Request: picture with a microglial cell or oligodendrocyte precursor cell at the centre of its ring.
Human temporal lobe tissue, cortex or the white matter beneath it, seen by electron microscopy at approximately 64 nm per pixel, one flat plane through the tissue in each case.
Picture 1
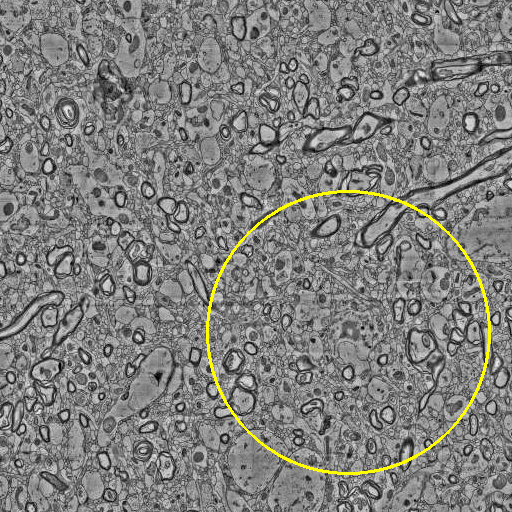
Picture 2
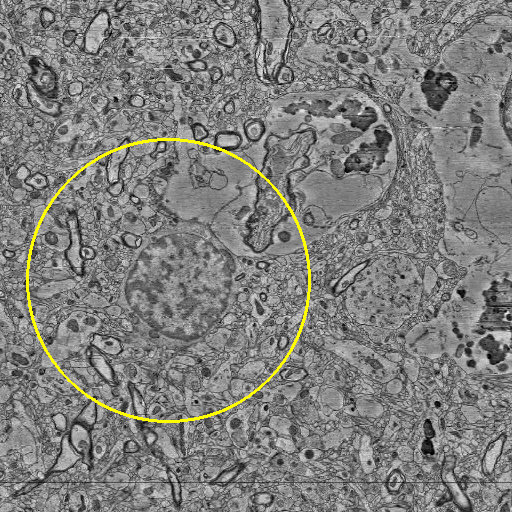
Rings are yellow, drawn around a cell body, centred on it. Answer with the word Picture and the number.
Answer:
Picture 1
